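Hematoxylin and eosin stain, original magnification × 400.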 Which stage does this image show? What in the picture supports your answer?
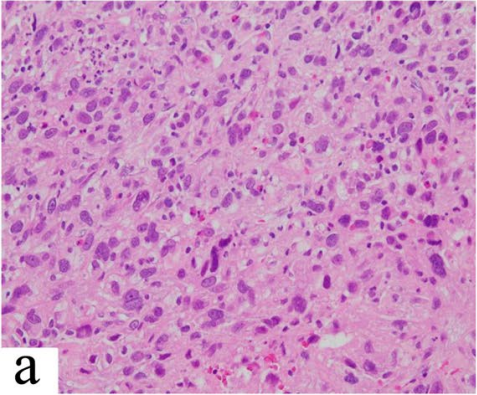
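Densely packed cells with intact, well-stained nuclei. Nuclei are pleomorphic and enlarged with visible chromatin. The answer: Viable tumor cells.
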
